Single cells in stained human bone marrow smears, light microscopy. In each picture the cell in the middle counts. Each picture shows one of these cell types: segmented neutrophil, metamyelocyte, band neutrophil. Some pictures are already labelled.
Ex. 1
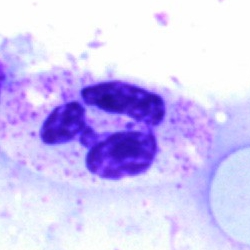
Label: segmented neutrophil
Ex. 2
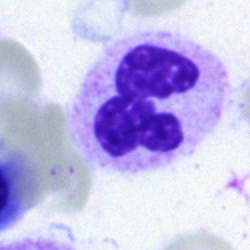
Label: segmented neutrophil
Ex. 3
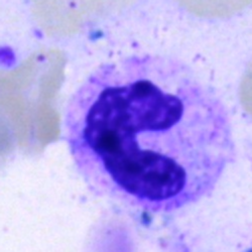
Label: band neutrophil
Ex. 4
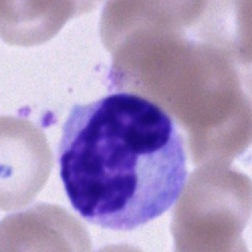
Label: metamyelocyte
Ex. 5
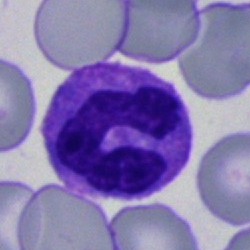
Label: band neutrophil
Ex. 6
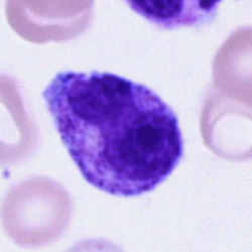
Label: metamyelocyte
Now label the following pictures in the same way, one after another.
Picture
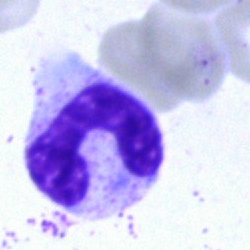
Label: band neutrophil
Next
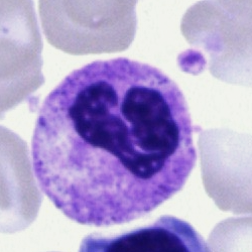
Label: segmented neutrophil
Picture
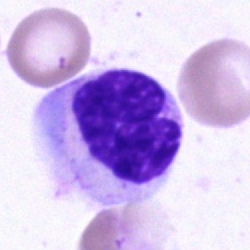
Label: metamyelocyte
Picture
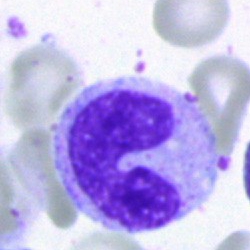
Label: band neutrophil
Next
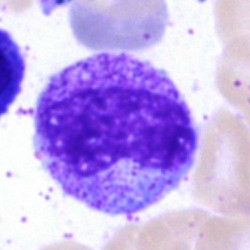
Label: metamyelocyte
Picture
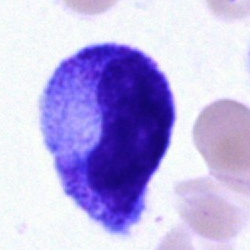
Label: metamyelocyte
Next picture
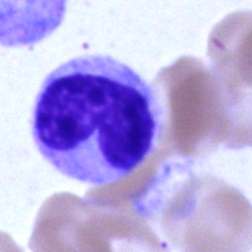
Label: metamyelocyte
